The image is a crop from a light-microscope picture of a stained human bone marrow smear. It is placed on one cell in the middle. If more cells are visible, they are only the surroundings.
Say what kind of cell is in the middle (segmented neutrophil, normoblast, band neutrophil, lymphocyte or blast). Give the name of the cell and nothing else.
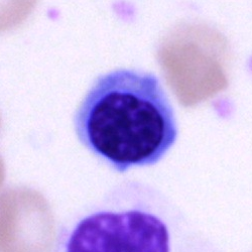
normoblast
